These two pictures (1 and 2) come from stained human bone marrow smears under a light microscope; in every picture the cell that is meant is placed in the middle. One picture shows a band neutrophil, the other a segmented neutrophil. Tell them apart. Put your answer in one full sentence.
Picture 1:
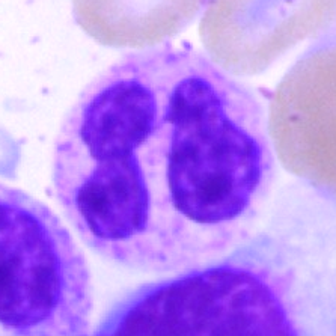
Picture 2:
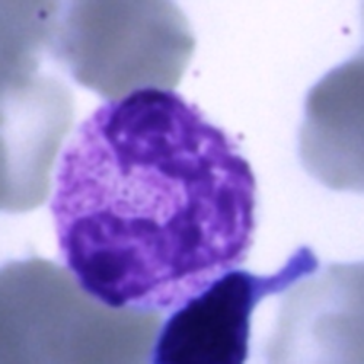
Picture 2 shows a band neutrophil, while picture 1 shows a segmented neutrophil.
